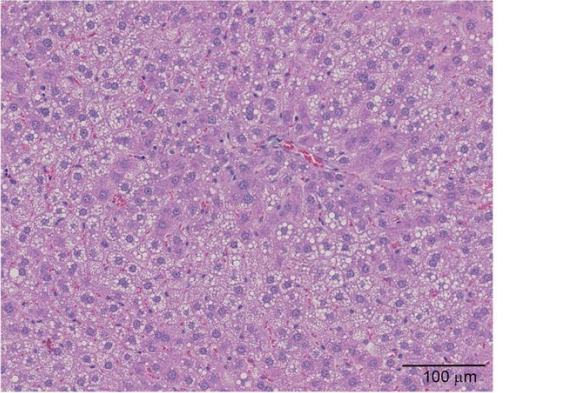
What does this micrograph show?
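Liver tissue in which many hepatocytes show pale, foamy cytoplasm filled with small clear vacuoles, and some cells appear swollen. Round purple nuclei remain visible, and the regular radiating arrangement of cell cords is less distinct than in normal liver, with scattered red blood cells in sinusoids.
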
